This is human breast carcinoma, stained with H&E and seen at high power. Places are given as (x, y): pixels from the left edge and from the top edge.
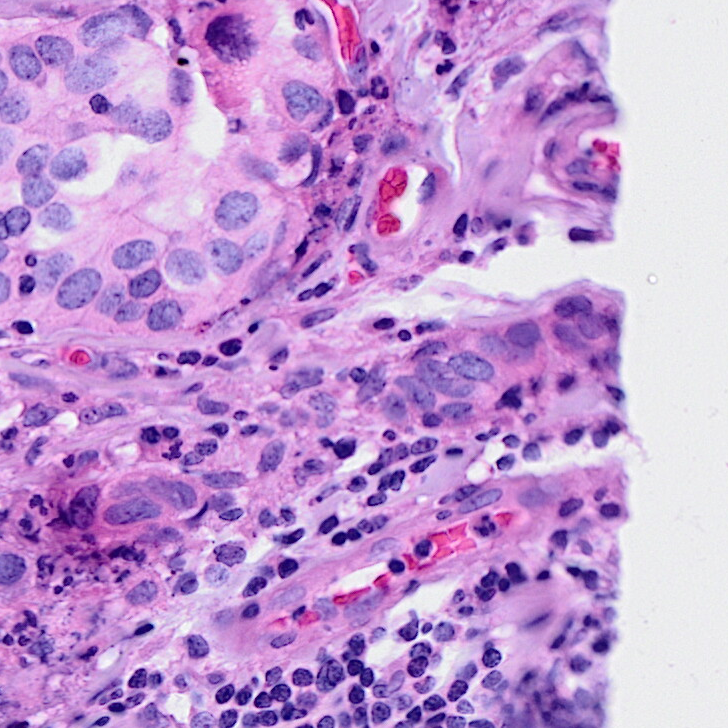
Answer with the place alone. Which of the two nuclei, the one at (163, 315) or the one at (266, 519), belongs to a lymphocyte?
(266, 519)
